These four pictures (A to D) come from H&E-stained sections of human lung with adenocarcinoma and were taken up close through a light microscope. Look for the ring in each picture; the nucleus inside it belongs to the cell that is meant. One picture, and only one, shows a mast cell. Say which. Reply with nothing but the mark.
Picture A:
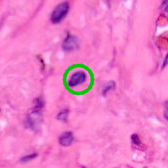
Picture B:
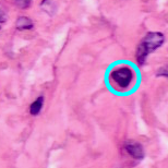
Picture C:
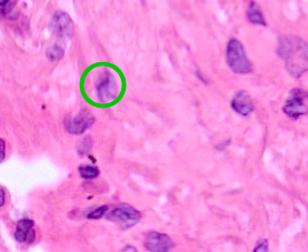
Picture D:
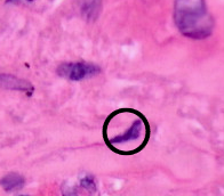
A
